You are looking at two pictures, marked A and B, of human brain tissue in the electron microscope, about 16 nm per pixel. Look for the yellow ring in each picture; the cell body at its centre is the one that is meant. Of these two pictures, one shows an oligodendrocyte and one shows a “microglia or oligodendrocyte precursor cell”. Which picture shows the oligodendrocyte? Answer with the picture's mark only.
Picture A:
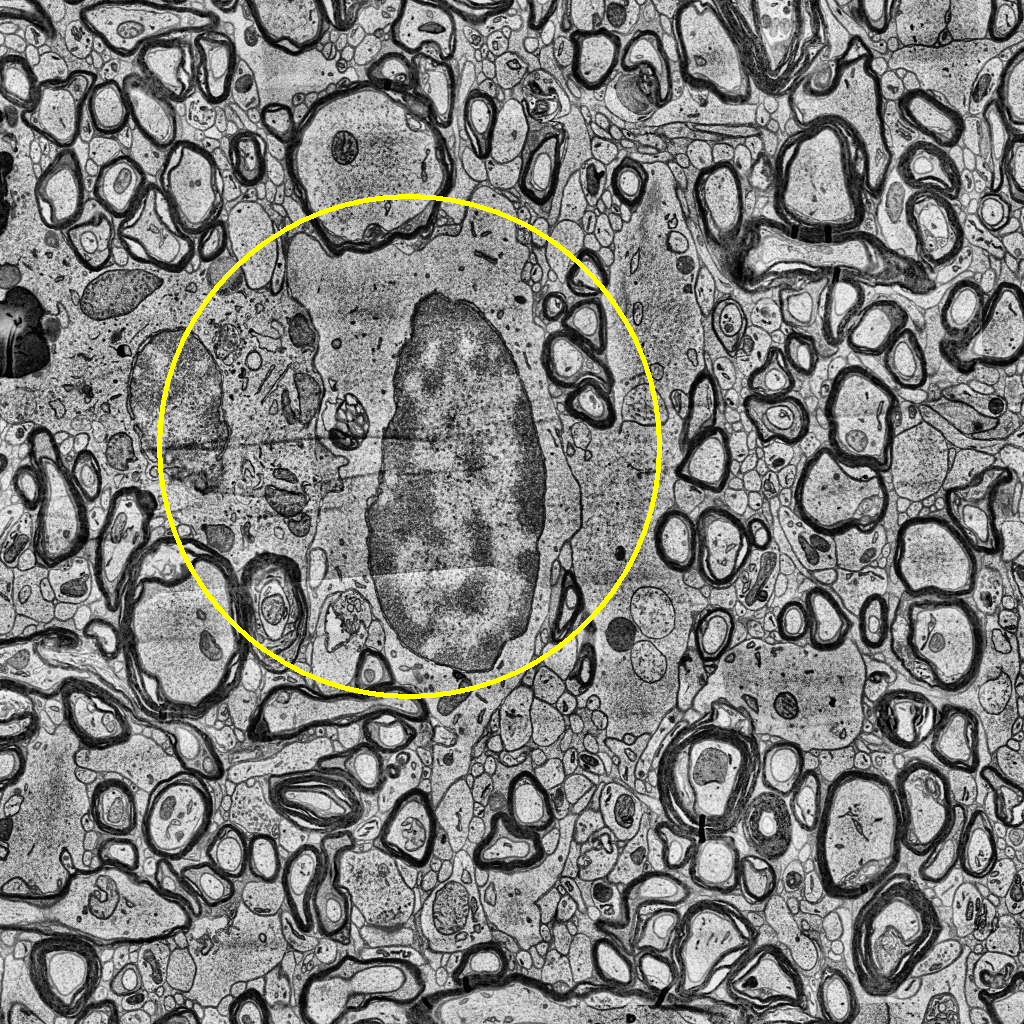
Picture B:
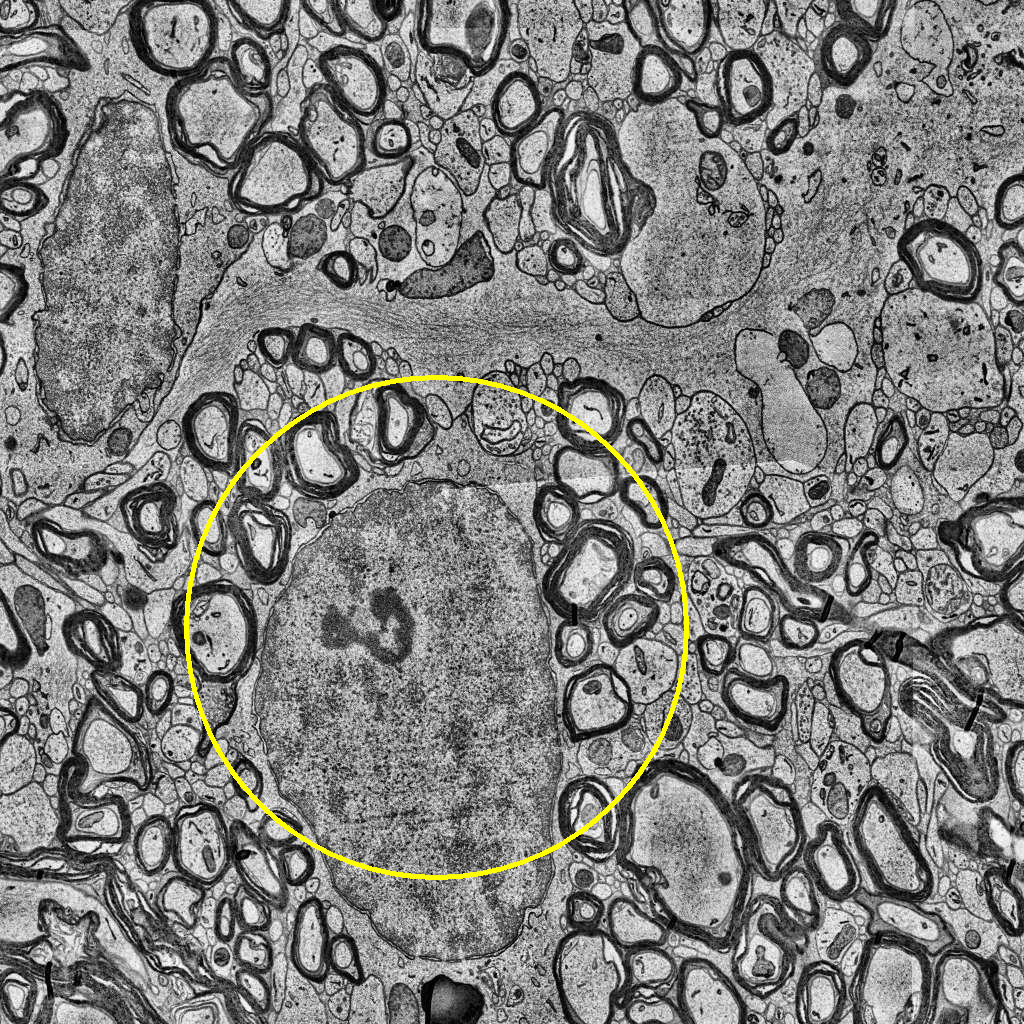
B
